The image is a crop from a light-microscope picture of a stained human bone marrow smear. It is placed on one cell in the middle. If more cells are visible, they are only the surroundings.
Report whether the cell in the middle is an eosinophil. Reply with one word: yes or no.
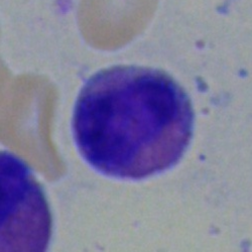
yes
